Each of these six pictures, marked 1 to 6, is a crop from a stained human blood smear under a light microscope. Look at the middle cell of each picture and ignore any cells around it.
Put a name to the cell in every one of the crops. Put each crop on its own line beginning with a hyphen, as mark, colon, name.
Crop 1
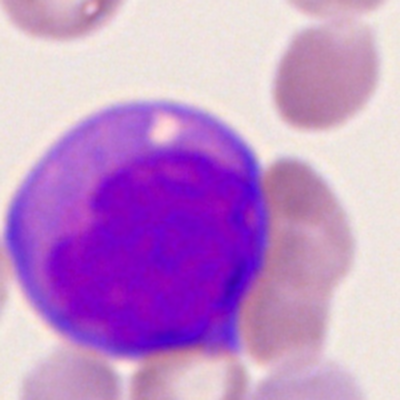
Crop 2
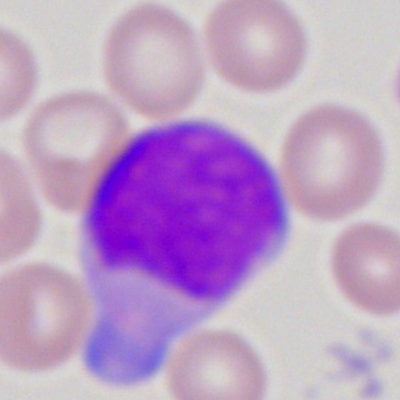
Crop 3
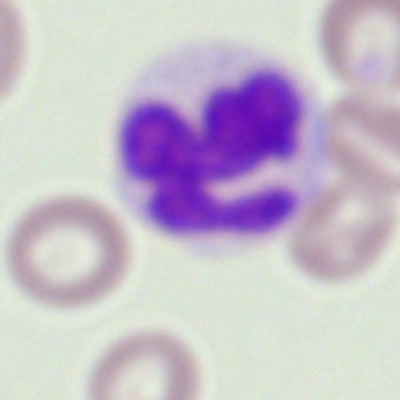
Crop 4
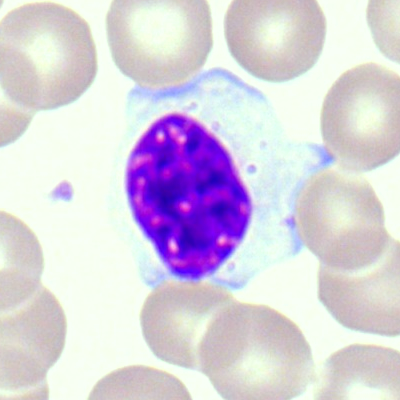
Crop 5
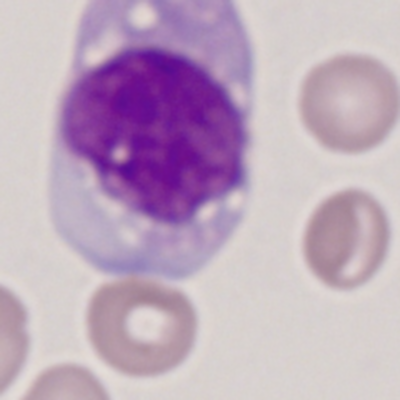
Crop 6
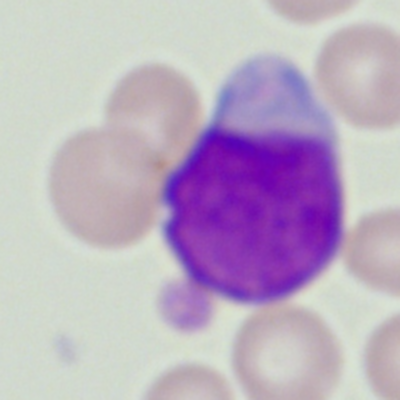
- 1: myeloblast
- 2: myeloblast
- 3: monocyte
- 4: lymphocyte
- 5: monocyte
- 6: myeloblast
